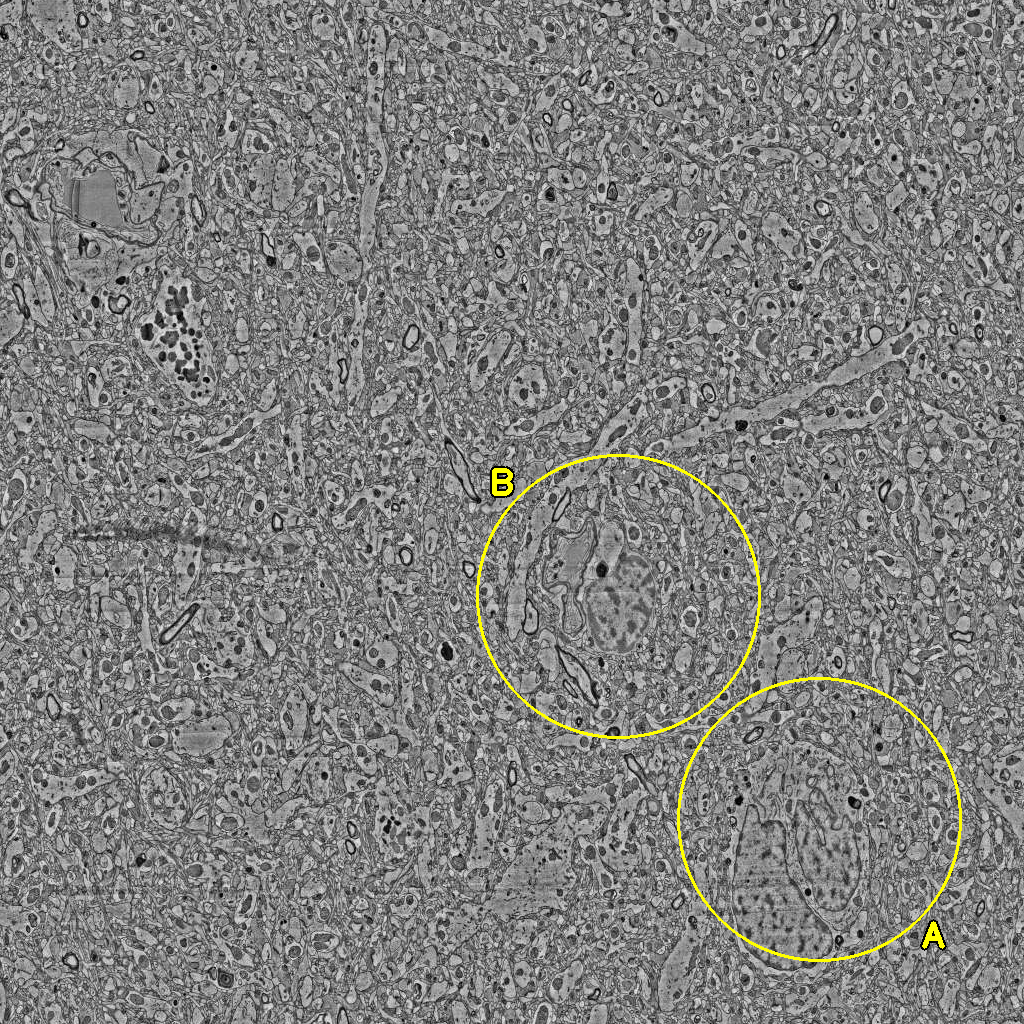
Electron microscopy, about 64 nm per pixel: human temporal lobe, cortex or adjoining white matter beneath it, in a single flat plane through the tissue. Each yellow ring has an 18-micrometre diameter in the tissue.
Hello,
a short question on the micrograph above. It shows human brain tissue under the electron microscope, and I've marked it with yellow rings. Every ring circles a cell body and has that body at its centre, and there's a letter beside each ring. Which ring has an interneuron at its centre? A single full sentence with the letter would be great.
The cell you asked about sits at the centre of ring A.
